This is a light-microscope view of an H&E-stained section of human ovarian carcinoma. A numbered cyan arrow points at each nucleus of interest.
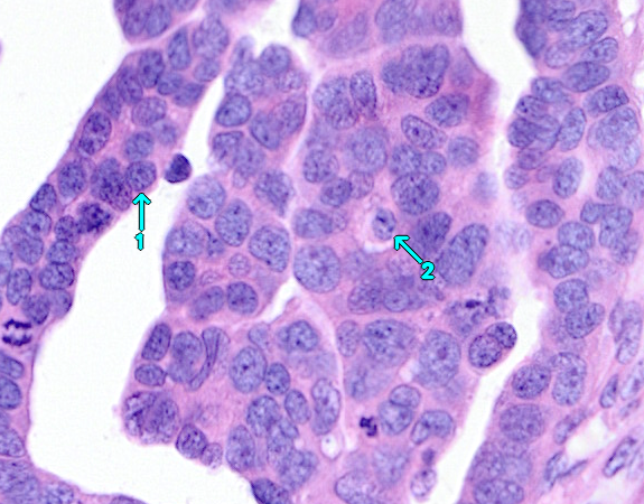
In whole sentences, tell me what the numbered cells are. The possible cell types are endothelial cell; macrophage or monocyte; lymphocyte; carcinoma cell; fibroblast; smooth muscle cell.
Cell 1 is a carcinoma cell and cell 2 is a macrophage or monocyte.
